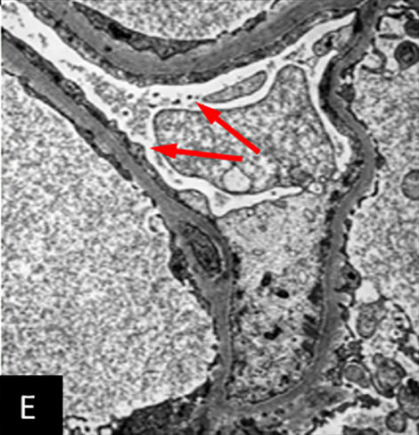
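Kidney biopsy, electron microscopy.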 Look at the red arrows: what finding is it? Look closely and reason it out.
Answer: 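Podocyte foot processes fused. A dark continuous layer lies flat along the basement membrane of the capillary loop. No separate, regularly spaced foot processes are seen along the membrane.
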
